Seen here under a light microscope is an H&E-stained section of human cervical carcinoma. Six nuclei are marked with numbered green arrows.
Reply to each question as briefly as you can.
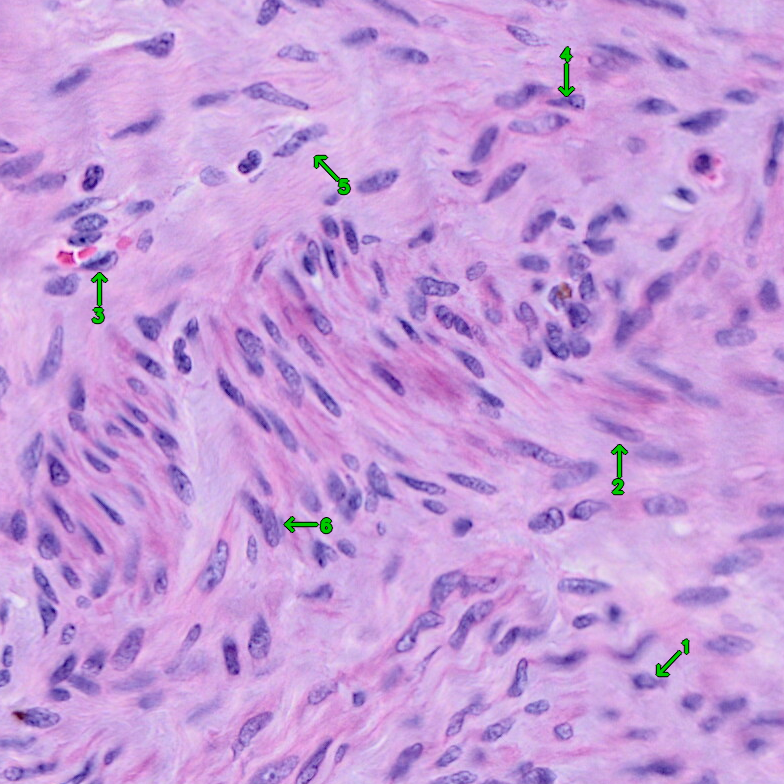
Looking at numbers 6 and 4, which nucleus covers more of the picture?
6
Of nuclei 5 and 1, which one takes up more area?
5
